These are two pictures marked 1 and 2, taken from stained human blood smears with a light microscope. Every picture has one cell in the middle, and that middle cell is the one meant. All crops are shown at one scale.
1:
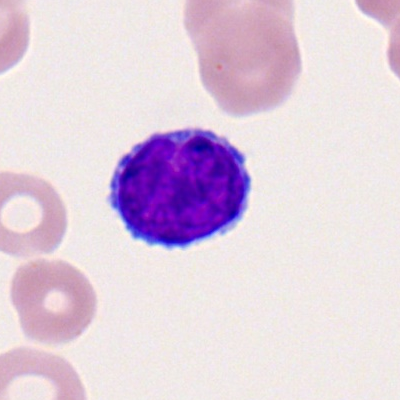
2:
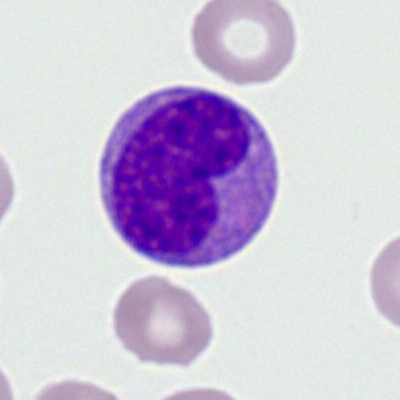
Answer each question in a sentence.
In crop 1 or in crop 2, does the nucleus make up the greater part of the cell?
The nucleus fills more of the cell in crop 1 than in crop 2.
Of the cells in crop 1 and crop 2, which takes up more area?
Larger is the cell in crop 2, at roughly 2 times the area of the other.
